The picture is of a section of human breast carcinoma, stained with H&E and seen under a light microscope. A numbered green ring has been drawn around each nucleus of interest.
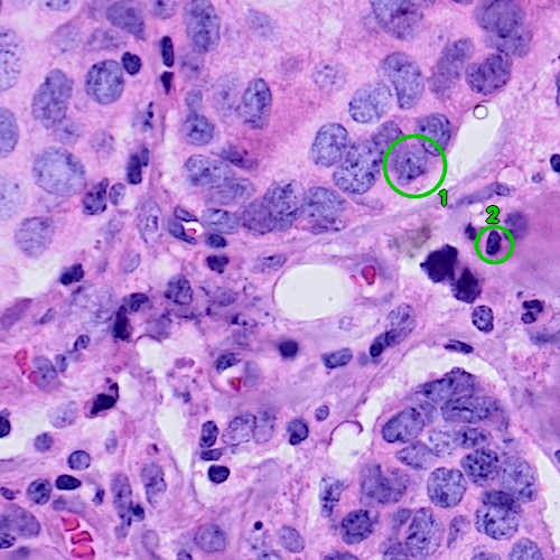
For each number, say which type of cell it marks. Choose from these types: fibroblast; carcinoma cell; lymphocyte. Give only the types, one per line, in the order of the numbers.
carcinoma cell
lymphocyte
